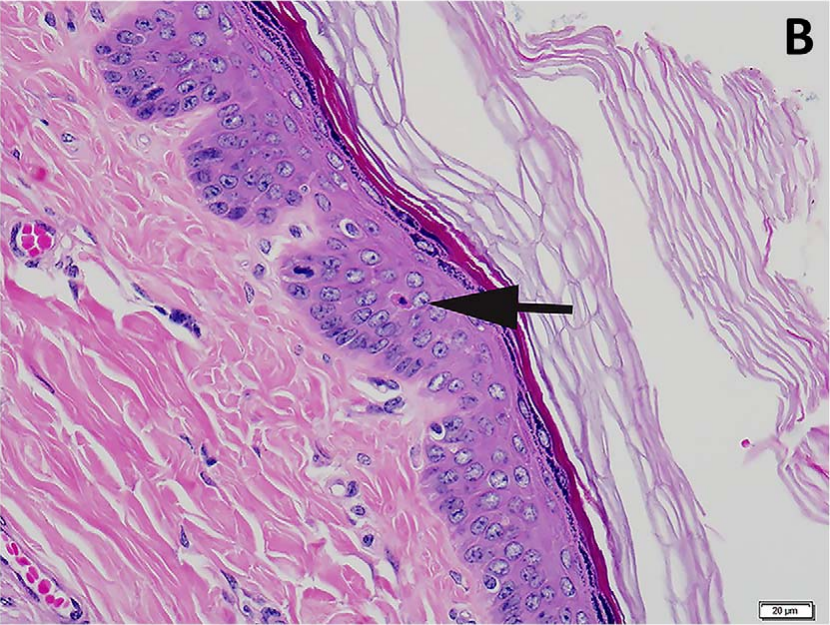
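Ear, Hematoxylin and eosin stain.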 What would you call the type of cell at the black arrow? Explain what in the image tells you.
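Apoptotic keratinocyte. The arrow tip points to a single small cell within the epidermis. That cell has a small, intensely pink-red body, unlike the pale neighbouring cells. The neighbouring epidermal cells have round, vesicular nuclei.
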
